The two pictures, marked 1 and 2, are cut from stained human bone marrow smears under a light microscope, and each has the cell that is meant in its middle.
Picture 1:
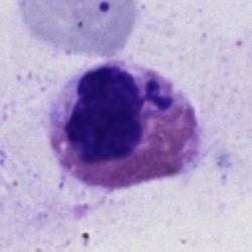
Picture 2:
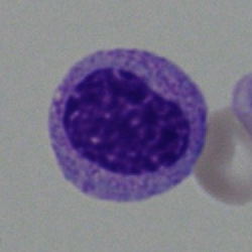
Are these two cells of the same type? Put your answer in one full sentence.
No. Picture 1 shows an eosinophil, but picture 2 shows a metamyelocyte.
